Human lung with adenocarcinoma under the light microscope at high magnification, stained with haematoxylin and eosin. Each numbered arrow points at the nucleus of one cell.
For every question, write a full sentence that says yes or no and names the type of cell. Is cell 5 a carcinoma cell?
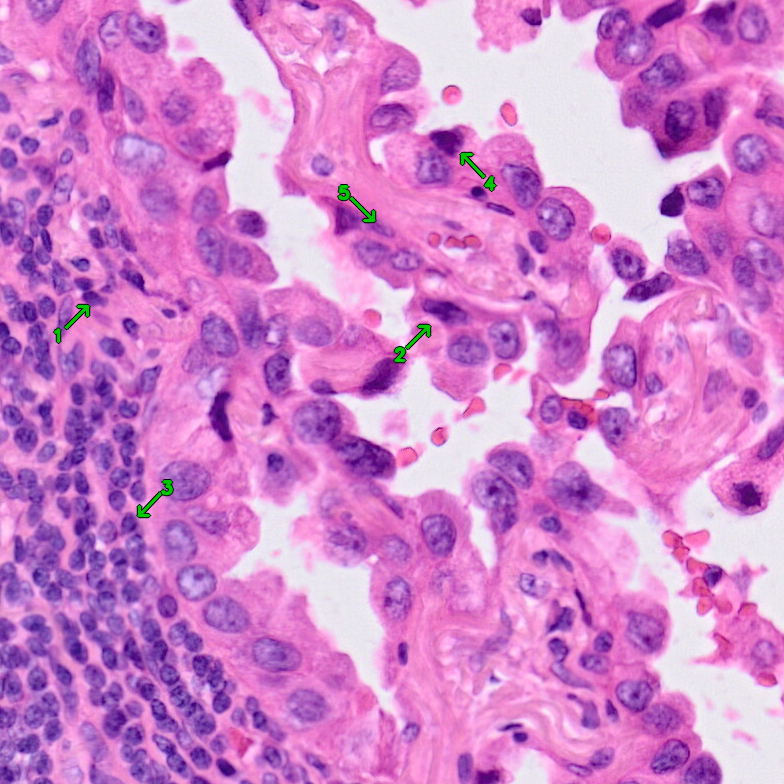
Yes, it is a carcinoma cell that number 5 identifies.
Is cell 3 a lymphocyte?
Yes, the cell tagged with number 3 is a lymphocyte.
